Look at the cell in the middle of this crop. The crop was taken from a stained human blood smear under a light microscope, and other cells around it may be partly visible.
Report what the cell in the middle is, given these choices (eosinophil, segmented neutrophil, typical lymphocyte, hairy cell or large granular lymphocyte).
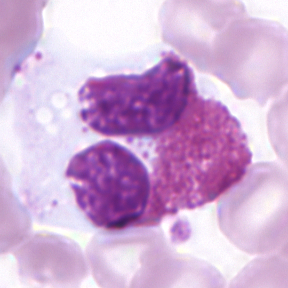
eosinophil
